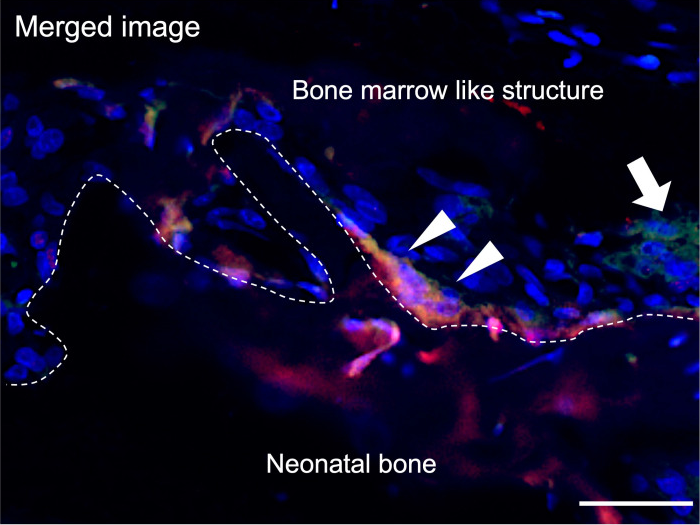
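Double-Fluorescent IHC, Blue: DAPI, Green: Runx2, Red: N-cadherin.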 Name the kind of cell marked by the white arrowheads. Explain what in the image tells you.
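The arrowheads mark elongated cells lying along the dashed bone surface. These cells show overlapping green and red, appearing yellow-orange. On this evidence: spindle-shaped cells.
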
